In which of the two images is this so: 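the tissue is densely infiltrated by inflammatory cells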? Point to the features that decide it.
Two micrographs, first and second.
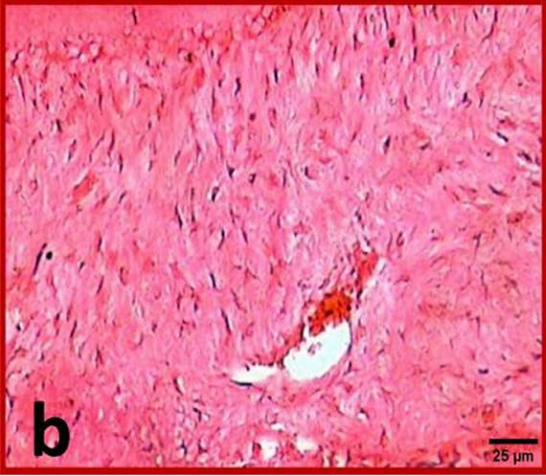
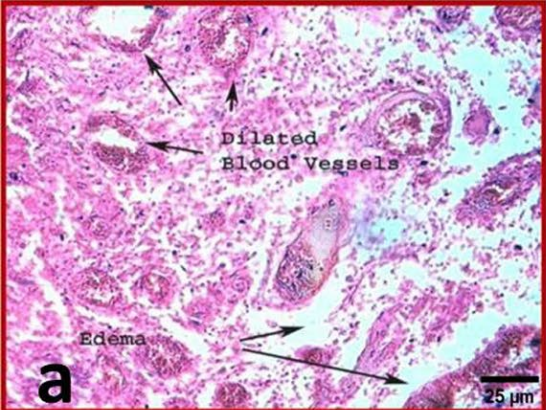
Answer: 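First image: compact pink fibrous tissue with sparse, elongated spindle nuclei and few rounded cells. Second image: loose tissue with pale spaces and many scattered small cells among numerous vessels.
Hence: the second image.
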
